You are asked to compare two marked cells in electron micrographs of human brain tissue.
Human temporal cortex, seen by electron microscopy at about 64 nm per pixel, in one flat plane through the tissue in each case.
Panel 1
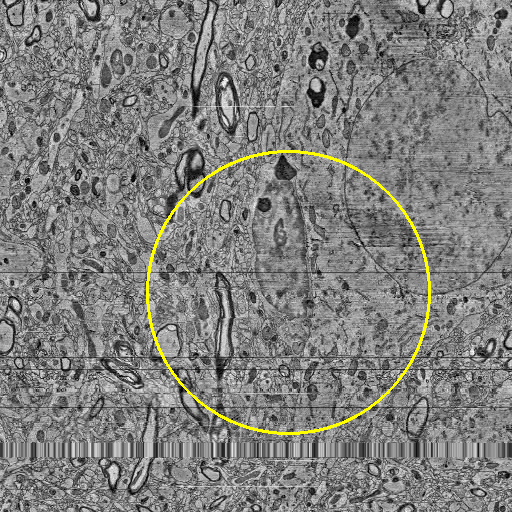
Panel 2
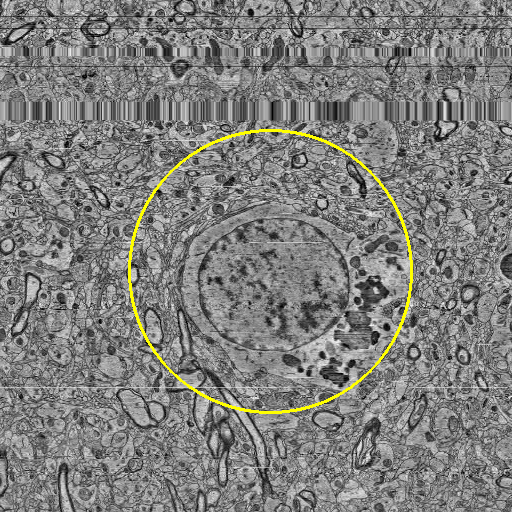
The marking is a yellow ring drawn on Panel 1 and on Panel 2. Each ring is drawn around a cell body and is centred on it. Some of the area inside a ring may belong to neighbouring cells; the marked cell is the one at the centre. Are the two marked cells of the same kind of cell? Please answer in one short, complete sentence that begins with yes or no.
No, the two marked cells are of two kinds.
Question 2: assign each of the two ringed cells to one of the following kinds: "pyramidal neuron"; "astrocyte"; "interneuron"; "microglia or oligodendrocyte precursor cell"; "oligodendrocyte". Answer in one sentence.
The two cells are an oligodendrocyte in the first picture and an astrocyte in the second.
